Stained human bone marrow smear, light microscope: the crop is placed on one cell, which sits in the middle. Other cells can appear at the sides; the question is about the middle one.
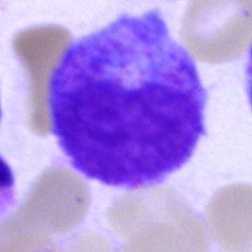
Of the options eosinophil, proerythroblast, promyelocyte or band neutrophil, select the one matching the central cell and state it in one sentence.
In the centre of this crop there is a promyelocyte.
